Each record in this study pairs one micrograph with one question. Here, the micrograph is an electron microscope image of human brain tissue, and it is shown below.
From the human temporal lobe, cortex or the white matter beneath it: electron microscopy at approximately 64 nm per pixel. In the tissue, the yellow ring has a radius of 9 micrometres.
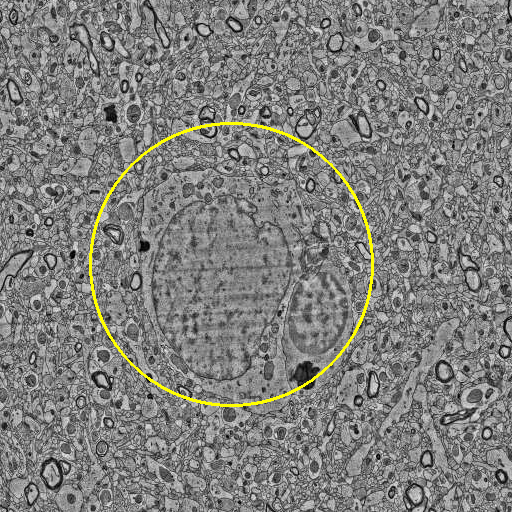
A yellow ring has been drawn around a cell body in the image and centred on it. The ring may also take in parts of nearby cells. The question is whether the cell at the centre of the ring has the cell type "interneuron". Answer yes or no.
yes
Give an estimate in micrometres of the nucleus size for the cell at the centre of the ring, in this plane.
In this plane the nucleus spans approximately 12 by 9 micrometers.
